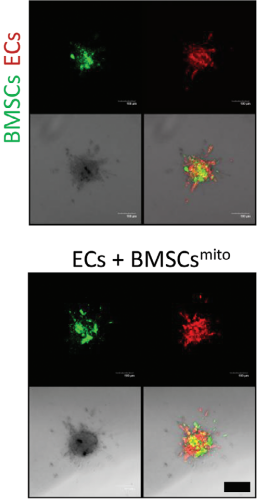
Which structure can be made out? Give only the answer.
sprouting structures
